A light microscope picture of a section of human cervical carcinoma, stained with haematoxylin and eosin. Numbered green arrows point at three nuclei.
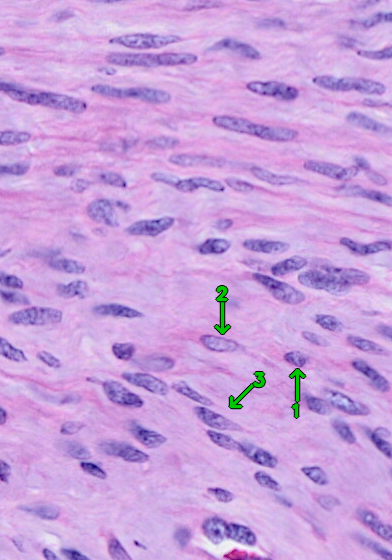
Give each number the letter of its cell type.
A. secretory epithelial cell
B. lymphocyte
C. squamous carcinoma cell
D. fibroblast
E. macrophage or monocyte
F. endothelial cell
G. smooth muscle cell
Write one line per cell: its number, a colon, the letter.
1: G
2: G
3: D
